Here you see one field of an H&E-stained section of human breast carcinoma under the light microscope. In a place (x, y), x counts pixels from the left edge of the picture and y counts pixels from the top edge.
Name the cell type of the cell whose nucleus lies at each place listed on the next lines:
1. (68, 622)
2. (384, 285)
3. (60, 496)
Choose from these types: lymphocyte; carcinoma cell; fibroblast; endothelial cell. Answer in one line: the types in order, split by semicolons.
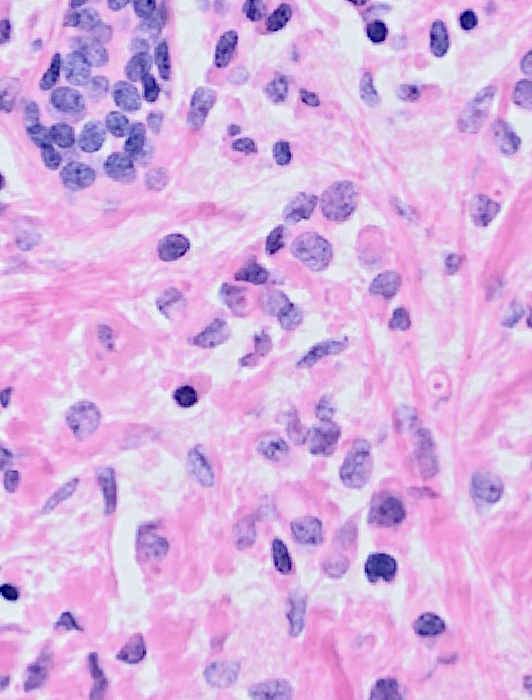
fibroblast; carcinoma cell; fibroblast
